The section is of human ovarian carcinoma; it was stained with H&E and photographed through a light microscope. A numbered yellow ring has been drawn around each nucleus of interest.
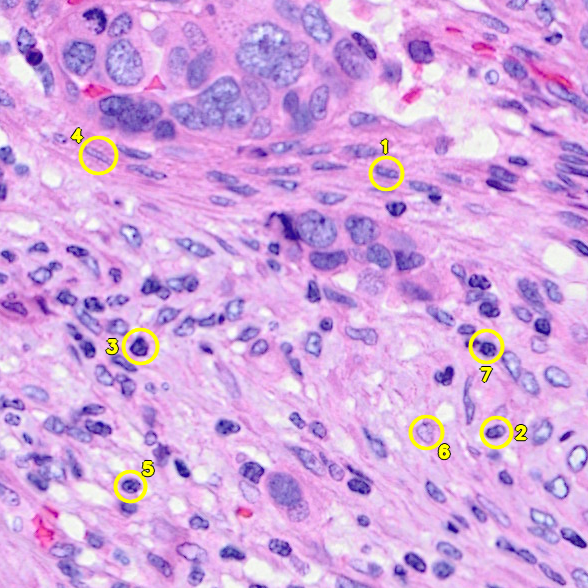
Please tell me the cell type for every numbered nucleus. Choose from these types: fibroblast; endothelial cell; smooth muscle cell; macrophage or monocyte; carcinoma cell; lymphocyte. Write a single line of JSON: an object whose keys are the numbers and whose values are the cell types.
{"1": "fibroblast", "2": "lymphocyte", "3": "lymphocyte", "4": "fibroblast", "5": "lymphocyte", "6": "fibroblast", "7": "lymphocyte"}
